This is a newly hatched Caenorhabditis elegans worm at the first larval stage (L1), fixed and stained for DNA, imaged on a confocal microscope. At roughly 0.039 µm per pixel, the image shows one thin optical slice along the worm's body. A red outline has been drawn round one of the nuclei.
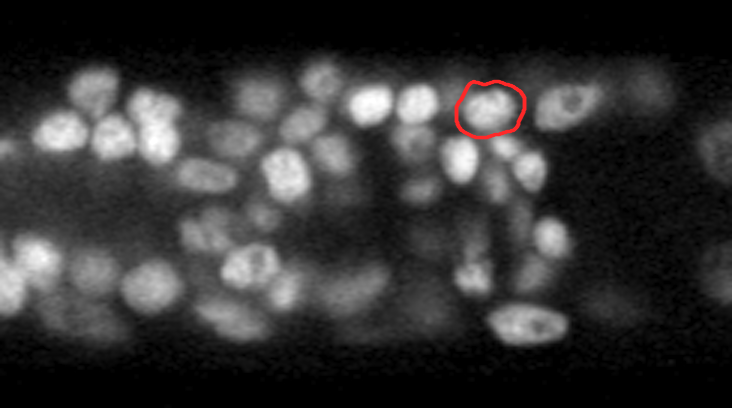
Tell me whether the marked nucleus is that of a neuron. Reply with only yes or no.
yes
